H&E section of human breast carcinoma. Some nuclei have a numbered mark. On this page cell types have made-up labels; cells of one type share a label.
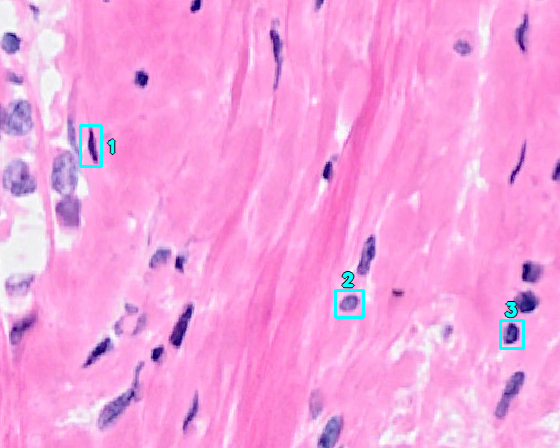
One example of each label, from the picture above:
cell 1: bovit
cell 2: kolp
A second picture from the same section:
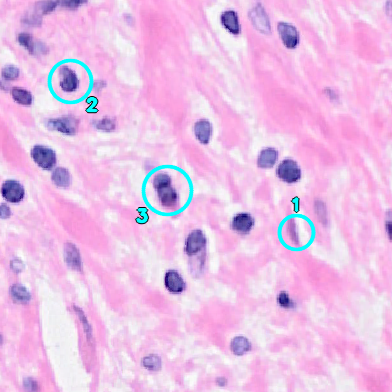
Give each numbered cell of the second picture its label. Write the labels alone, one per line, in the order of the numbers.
bovit
kolp
kolp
